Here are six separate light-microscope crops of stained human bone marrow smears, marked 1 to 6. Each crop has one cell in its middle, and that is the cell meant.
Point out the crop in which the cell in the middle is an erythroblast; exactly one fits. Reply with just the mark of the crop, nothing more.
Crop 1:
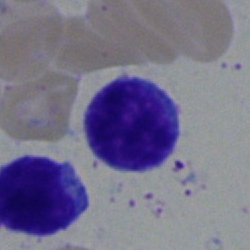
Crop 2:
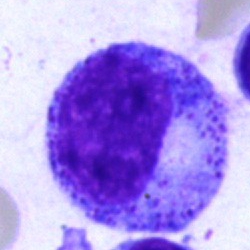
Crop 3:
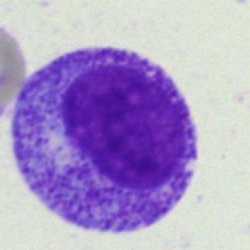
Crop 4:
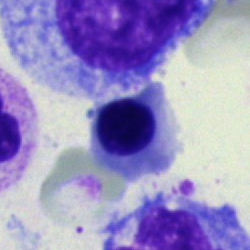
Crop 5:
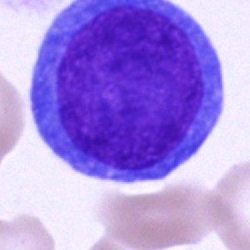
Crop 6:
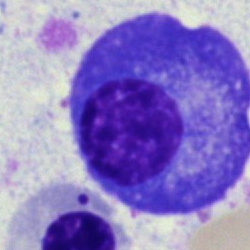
4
